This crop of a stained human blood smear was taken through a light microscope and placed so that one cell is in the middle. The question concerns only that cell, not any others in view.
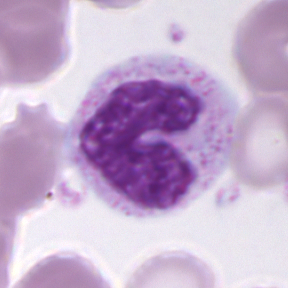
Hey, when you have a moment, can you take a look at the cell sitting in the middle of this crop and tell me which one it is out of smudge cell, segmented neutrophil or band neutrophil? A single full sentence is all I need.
The middle of this crop holds a band neutrophil.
